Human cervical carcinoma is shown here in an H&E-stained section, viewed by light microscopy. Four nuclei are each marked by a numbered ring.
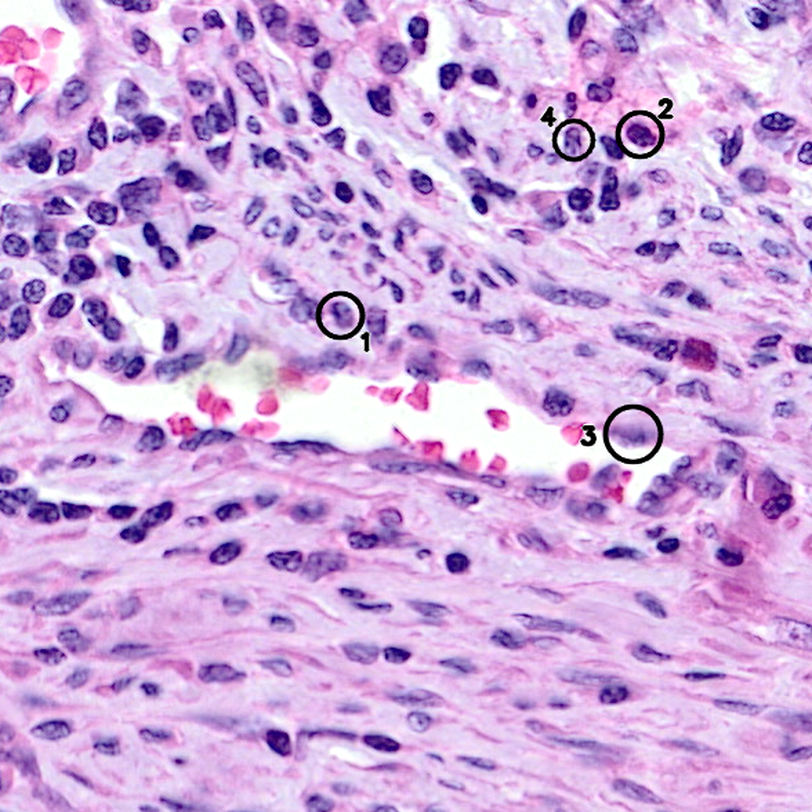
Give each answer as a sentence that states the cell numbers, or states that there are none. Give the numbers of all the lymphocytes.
Classified as lymphocytes are the cells numbered 1, 2 and 4.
